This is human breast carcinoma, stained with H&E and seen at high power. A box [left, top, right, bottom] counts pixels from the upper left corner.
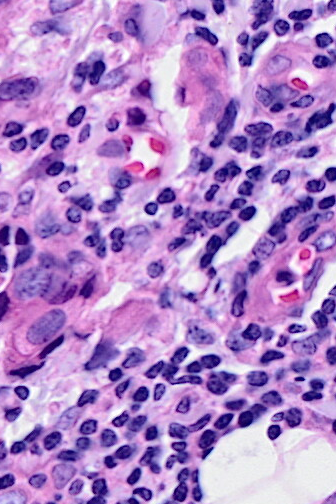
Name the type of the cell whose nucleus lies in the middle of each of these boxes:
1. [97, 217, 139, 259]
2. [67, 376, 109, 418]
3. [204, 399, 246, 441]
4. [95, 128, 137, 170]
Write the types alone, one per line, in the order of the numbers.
lymphocyte
lymphocyte
lymphocyte
endothelial cell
